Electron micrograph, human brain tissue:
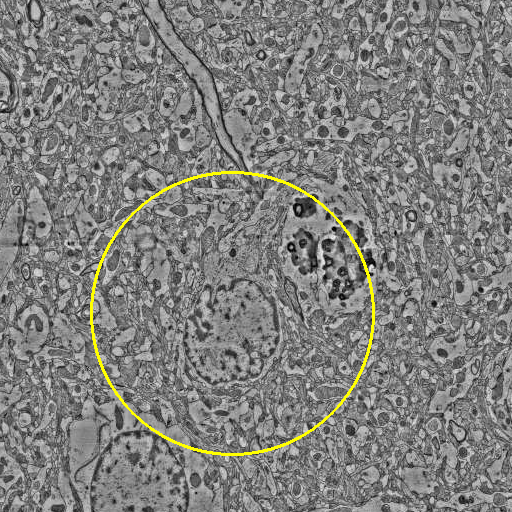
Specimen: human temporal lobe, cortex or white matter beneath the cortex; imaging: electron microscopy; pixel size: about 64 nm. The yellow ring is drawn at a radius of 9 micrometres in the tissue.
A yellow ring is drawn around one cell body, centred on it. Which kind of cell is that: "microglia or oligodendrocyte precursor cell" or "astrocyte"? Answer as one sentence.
It is a microglial cell or oligodendrocyte precursor cell at the centre of the ring.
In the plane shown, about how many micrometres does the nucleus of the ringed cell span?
About 7 by 6 micrometers for the nucleus, in this plane.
